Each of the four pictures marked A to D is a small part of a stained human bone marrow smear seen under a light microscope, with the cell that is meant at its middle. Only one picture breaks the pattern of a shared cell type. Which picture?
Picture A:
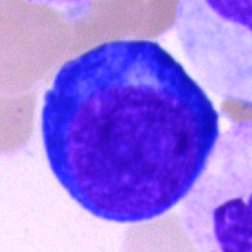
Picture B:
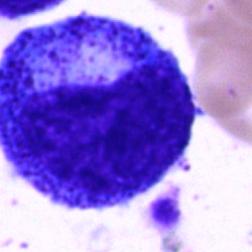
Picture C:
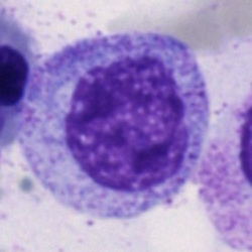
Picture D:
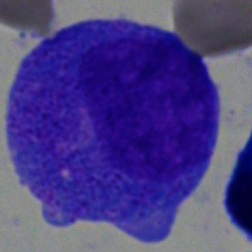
A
